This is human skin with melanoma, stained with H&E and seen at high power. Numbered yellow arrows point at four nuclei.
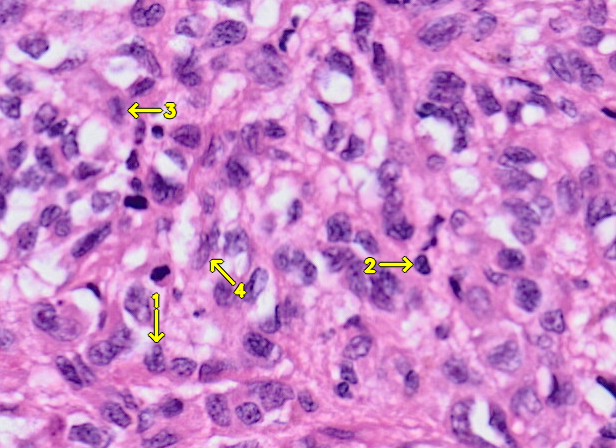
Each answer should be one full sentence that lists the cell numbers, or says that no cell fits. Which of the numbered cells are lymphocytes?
In this set of numbered cells, only cell 2 is a lymphocyte.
